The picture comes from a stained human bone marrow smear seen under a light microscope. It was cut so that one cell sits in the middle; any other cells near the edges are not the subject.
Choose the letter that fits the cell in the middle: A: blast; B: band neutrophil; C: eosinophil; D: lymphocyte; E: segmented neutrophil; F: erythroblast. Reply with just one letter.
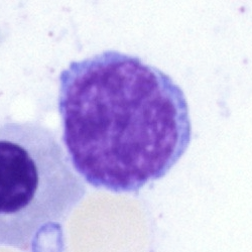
D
